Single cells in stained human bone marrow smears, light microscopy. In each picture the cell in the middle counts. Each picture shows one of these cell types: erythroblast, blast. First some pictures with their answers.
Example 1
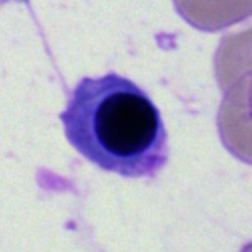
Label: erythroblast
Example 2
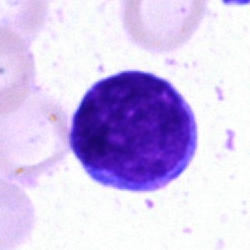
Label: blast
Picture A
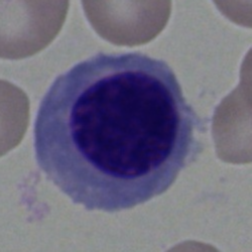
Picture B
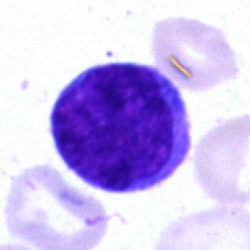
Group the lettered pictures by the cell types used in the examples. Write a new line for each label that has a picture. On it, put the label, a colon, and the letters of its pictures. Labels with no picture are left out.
erythroblast: A
blast: B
